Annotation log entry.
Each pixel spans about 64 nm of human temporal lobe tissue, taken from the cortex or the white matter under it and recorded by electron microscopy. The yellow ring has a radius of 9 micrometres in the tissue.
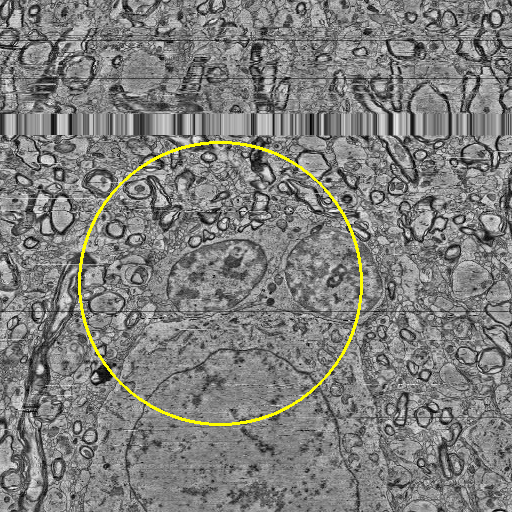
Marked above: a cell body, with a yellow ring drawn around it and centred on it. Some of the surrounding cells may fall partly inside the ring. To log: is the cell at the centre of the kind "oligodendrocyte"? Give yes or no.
Yes, the cell at the centre is of that kind.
